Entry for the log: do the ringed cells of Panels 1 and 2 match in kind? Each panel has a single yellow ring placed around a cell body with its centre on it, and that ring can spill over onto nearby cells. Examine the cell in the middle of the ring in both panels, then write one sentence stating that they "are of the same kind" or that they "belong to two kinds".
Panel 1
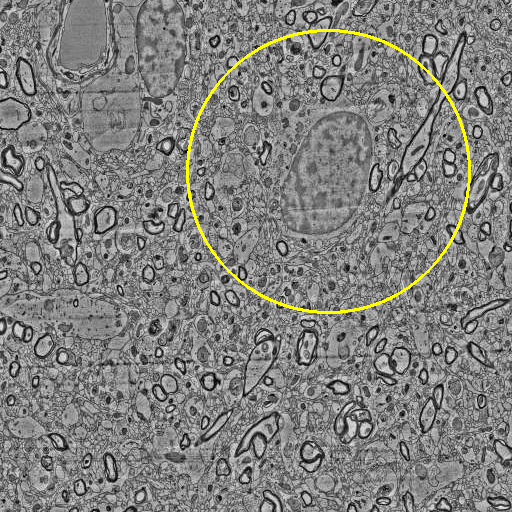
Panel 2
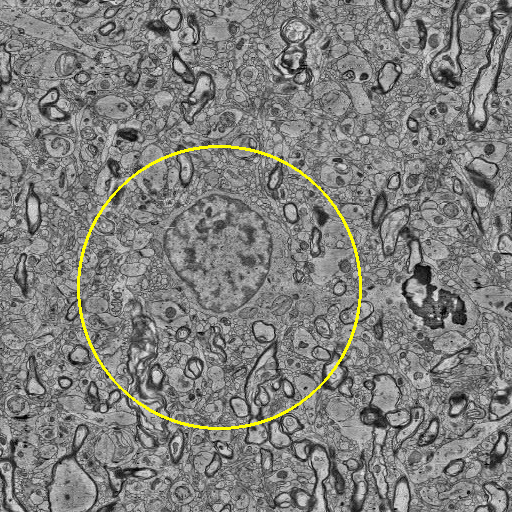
The centre cell of Panel 1's ring and that of Panel 2's ring are of the same kind.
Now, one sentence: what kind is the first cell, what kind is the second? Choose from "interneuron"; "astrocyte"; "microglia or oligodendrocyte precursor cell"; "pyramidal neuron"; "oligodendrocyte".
Each of the two pictures has an oligodendrocyte at the ring centre.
